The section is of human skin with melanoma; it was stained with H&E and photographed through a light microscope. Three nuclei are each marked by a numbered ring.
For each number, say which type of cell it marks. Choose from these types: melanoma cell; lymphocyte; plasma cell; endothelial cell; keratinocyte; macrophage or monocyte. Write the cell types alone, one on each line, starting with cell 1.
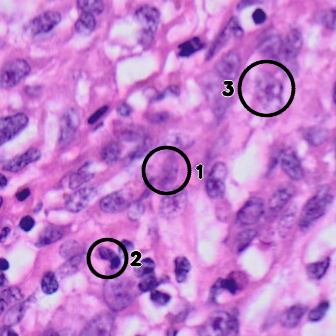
melanoma cell
lymphocyte
melanoma cell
